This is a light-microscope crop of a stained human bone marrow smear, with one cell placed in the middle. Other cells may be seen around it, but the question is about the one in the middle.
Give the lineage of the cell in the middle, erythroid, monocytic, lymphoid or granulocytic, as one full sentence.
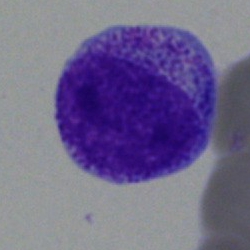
The central cell of this crop is identified as belonging to the granulocytic lineage.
